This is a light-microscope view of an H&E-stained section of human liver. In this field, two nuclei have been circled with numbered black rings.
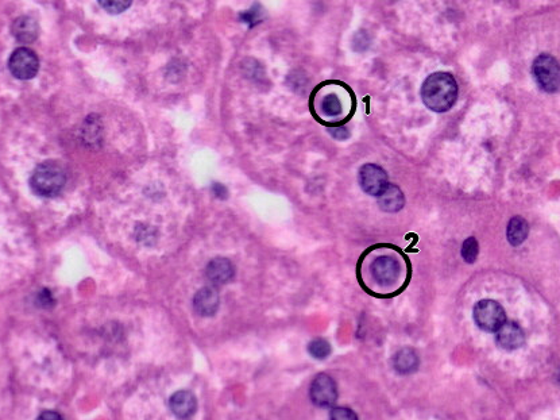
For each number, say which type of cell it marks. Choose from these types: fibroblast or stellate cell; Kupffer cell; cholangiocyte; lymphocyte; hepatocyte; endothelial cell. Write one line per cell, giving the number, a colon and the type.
1: lymphocyte
2: hepatocyte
